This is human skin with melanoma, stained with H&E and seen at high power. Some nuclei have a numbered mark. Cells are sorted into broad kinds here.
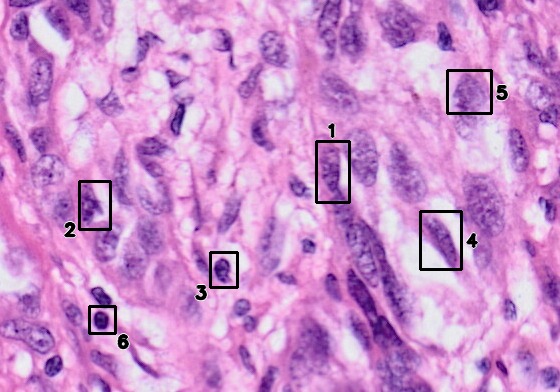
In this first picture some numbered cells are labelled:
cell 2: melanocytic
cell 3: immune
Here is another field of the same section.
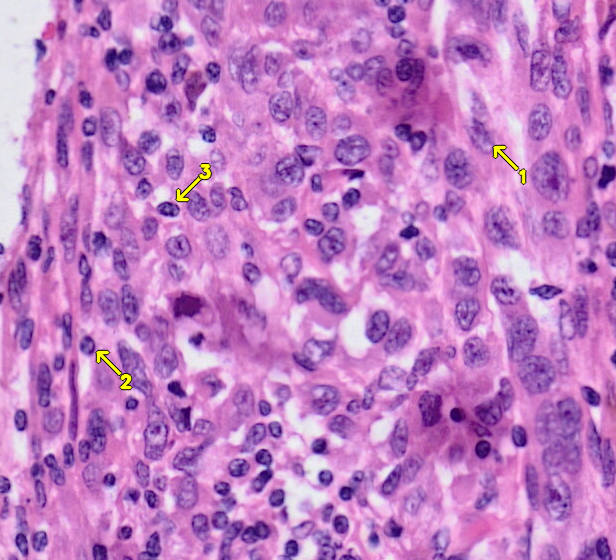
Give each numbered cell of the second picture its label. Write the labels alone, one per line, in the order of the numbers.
melanocytic
immune
immune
